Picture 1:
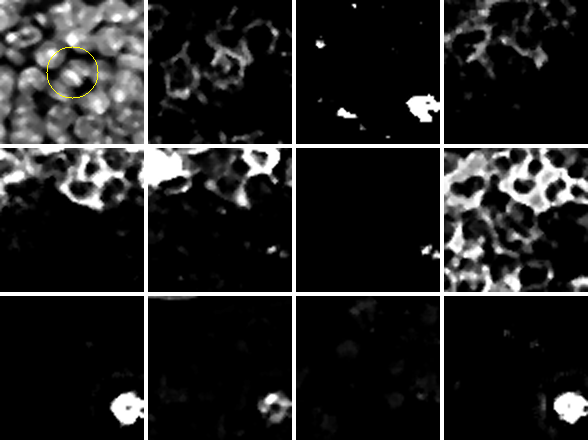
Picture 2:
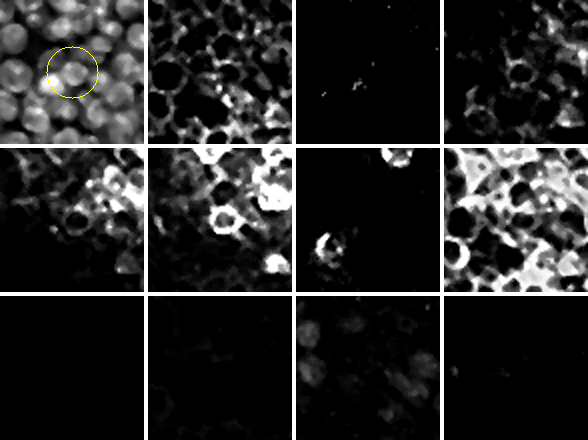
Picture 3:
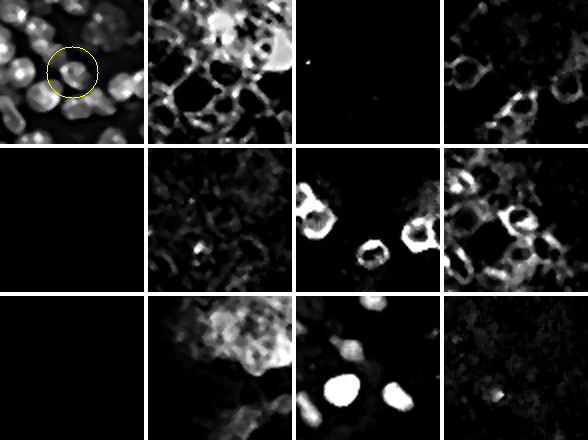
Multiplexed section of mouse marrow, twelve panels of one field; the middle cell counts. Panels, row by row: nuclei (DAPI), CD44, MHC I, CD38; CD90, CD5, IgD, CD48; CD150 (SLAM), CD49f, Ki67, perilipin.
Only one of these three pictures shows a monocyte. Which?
Picture 3.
